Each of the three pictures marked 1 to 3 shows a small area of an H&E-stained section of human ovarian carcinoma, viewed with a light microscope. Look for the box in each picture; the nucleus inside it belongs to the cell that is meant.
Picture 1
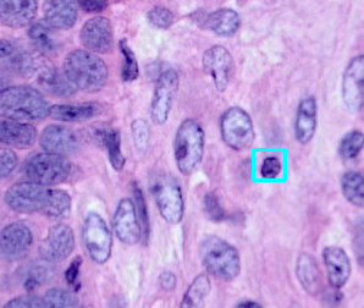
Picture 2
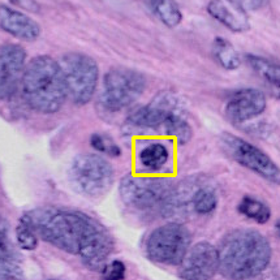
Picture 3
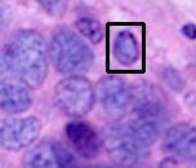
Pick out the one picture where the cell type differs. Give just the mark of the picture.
3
